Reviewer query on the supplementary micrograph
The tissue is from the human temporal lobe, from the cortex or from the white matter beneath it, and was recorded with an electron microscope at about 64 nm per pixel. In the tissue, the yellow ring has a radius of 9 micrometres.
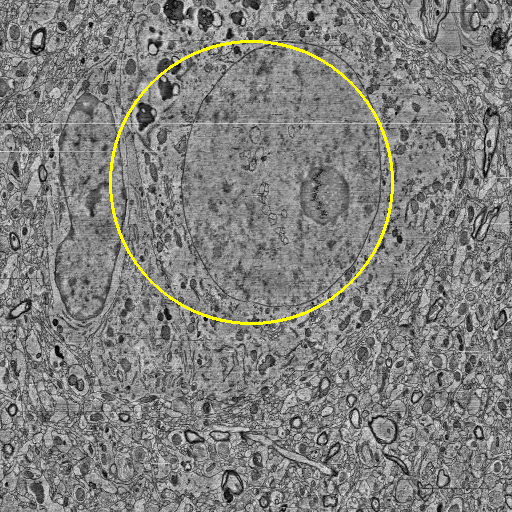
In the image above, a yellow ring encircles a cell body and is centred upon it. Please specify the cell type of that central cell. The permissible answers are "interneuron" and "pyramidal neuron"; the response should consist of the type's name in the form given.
pyramidal neuron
